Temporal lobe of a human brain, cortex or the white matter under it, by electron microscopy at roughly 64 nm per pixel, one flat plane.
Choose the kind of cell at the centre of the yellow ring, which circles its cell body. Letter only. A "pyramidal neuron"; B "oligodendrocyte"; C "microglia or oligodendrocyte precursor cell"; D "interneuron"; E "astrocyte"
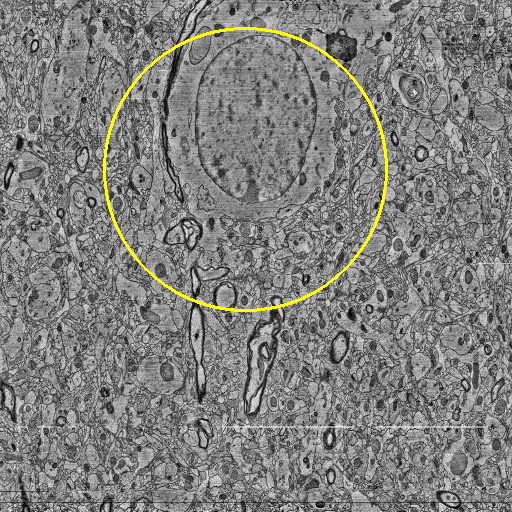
E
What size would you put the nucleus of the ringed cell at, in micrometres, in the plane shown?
The nucleus is approximately 11 micrometers long by 8 micrometers wide in this plane.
